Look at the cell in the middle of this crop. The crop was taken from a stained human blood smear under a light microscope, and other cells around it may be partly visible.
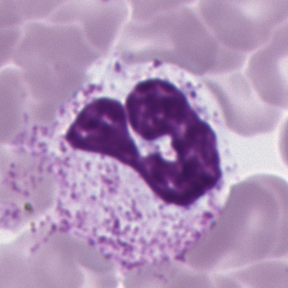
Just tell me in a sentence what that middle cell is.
The cell that lies at the centre of the crop is a segmented neutrophil.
